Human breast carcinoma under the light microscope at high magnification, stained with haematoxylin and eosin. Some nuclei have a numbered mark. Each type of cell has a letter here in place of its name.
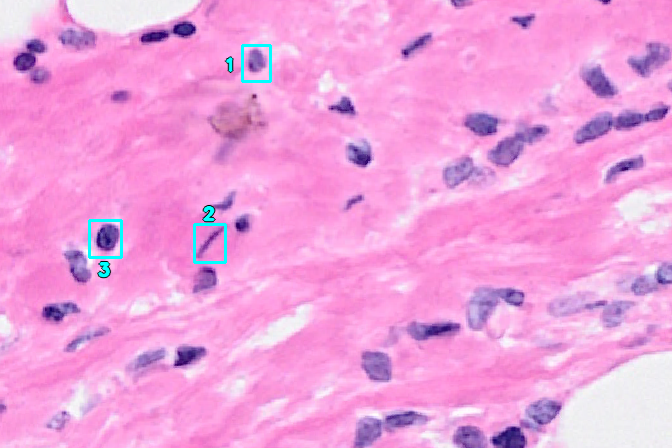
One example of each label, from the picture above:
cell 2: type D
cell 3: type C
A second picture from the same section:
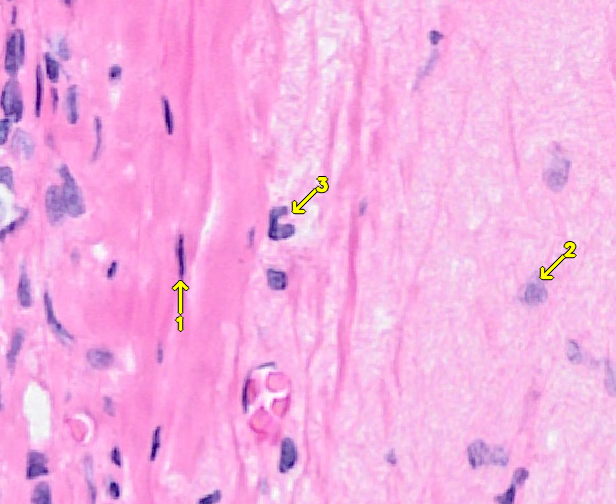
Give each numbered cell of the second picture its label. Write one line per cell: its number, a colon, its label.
1: type D
2: type D
3: type C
